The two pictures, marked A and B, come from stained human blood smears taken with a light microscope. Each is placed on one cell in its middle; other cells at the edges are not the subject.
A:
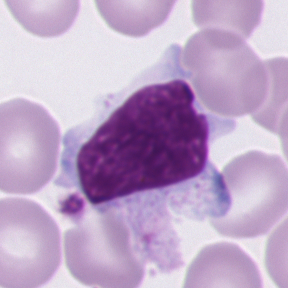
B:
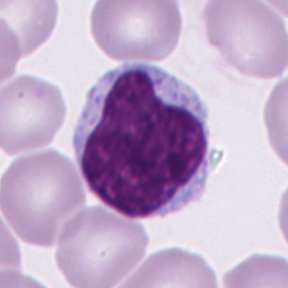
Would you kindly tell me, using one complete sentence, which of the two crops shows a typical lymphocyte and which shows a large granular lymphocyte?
Crop B contains a typical lymphocyte, whereas crop A contains a large granular lymphocyte.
